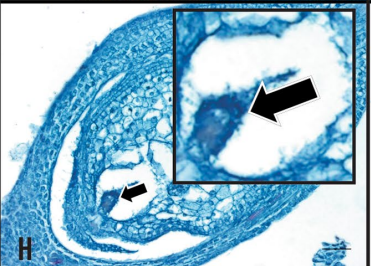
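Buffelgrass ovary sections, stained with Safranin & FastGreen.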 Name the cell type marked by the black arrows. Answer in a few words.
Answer: Egg cells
